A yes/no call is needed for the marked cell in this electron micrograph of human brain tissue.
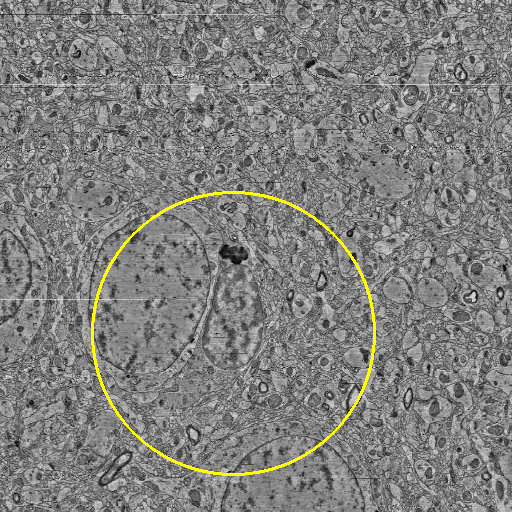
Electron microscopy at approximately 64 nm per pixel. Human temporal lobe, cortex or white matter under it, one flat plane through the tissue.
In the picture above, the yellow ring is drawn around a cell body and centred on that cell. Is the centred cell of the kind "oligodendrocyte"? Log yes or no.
yes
